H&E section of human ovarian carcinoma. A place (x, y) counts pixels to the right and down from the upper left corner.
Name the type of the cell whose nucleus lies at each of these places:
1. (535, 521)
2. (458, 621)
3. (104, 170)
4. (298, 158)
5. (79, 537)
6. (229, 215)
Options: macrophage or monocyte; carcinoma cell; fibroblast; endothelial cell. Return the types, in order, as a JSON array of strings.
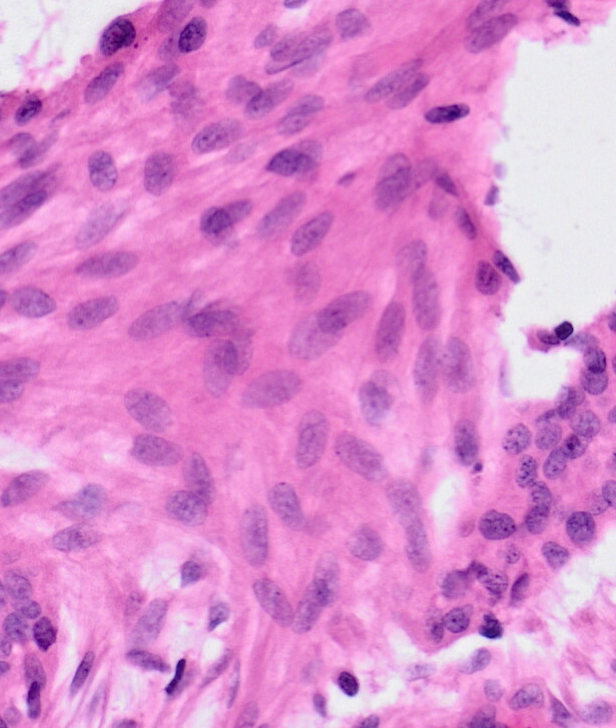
["carcinoma cell", "carcinoma cell", "fibroblast", "fibroblast", "fibroblast", "fibroblast"]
